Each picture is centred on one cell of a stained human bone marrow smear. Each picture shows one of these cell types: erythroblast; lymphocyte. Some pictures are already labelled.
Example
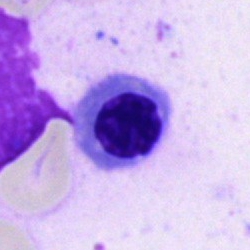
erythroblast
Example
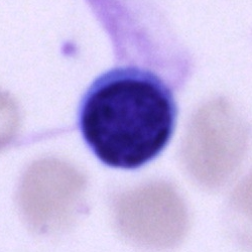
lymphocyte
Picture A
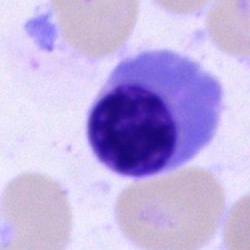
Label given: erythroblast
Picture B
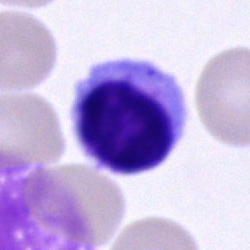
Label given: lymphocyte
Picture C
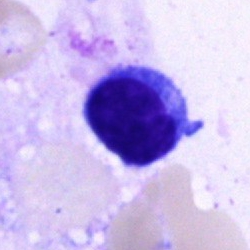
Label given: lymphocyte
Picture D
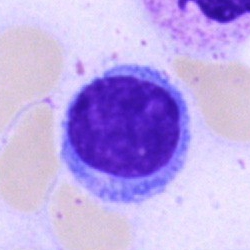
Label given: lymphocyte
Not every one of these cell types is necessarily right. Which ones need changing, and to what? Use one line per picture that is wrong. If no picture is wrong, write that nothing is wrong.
All correct.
